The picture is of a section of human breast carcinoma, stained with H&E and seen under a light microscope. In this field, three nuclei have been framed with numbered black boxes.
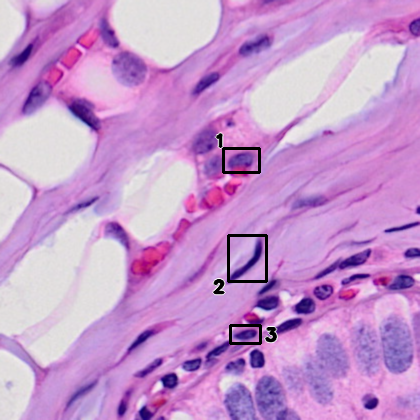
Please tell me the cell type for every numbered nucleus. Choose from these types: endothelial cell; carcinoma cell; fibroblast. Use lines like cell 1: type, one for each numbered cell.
cell 1: endothelial cell
cell 2: fibroblast
cell 3: endothelial cell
